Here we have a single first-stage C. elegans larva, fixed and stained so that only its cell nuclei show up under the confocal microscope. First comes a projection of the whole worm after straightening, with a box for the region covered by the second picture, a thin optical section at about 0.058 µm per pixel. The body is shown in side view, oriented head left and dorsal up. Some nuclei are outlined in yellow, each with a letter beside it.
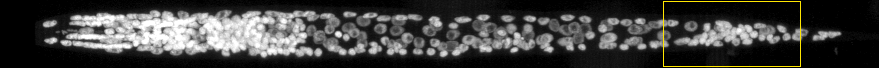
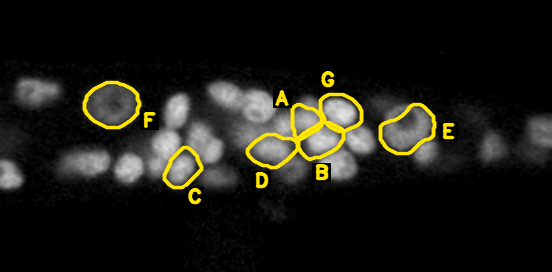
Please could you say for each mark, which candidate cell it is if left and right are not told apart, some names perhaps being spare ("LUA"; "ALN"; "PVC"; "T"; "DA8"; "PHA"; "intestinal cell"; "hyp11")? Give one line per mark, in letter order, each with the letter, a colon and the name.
A: LUA
B: PVC
C: DA8
D: PHA
E: T
F: intestinal cell
G: ALN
